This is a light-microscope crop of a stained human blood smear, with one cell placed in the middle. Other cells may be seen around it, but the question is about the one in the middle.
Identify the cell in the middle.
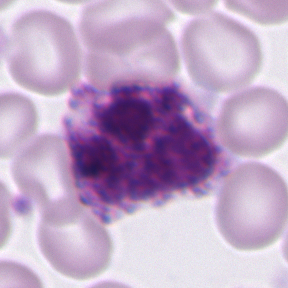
basophil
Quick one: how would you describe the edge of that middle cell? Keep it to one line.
Around its circumference, the cell has an uneven edge, ragged or projecting in places.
